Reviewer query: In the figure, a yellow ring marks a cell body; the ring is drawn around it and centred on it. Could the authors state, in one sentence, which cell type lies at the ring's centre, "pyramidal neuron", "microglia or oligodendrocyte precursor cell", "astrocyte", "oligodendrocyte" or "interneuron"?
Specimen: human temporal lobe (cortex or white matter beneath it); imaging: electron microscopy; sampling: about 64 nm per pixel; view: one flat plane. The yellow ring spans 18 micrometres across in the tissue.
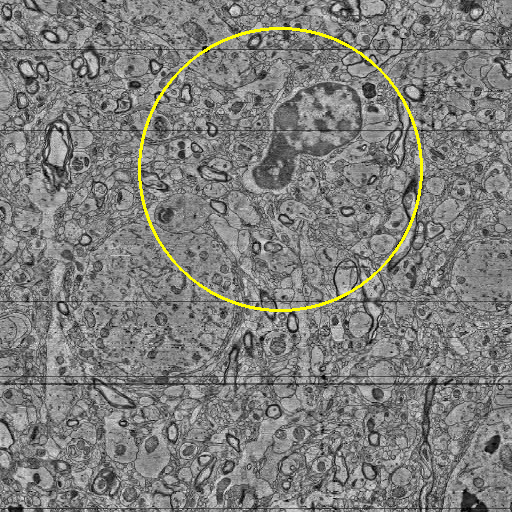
The ring is centred on a microglial cell or oligodendrocyte precursor cell.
